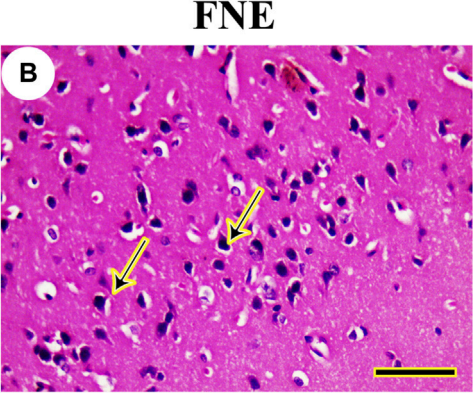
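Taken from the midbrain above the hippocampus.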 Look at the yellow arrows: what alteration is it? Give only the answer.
necrotic neurons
